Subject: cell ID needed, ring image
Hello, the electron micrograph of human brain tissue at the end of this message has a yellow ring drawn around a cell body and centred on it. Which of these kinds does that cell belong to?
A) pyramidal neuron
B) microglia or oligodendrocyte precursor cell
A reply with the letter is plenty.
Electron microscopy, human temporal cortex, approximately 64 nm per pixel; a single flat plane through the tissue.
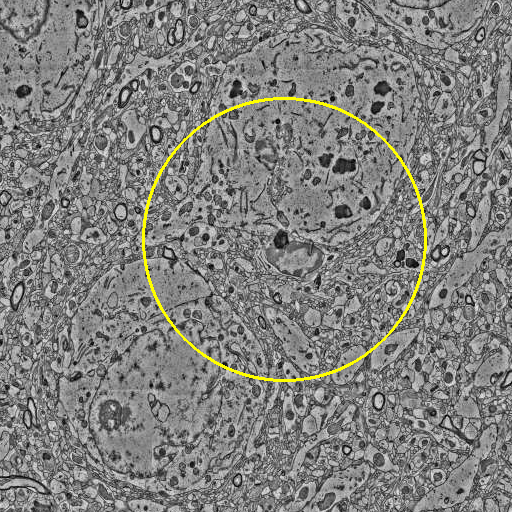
B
